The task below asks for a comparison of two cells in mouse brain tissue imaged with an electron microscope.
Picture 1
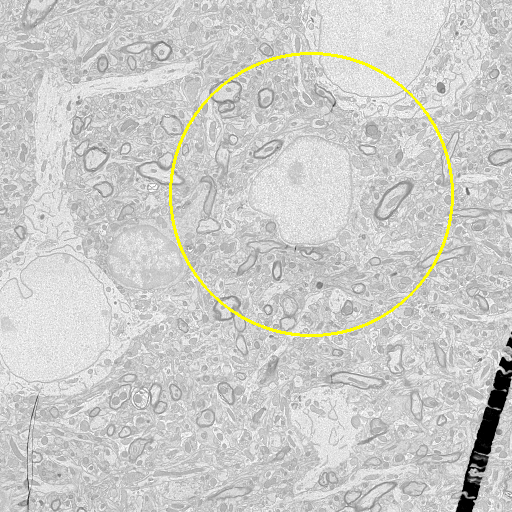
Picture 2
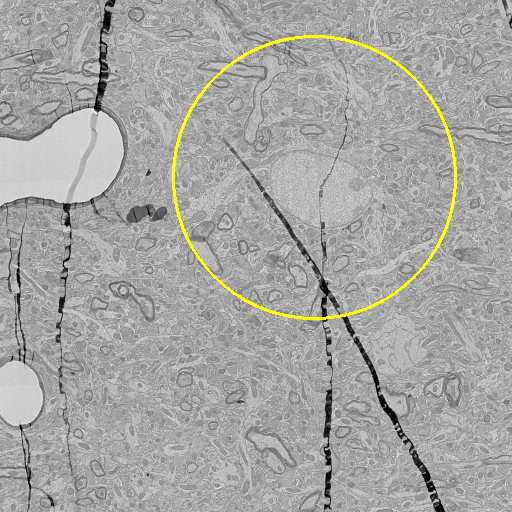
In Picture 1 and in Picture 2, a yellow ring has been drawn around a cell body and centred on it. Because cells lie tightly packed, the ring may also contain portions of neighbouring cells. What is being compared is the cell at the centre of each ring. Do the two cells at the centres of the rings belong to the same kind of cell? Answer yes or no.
yes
